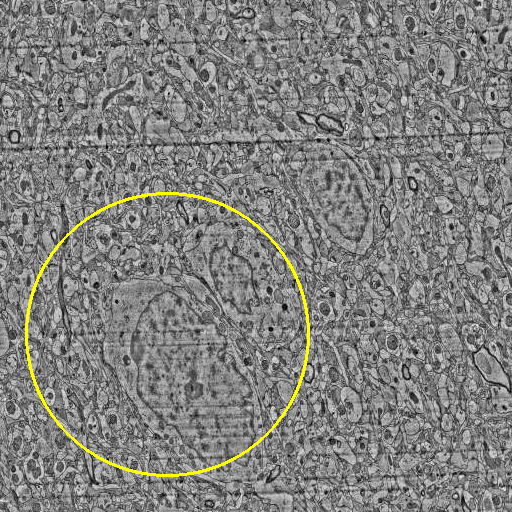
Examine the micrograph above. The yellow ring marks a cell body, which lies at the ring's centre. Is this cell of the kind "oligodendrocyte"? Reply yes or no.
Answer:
no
